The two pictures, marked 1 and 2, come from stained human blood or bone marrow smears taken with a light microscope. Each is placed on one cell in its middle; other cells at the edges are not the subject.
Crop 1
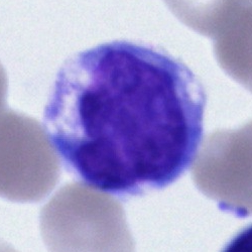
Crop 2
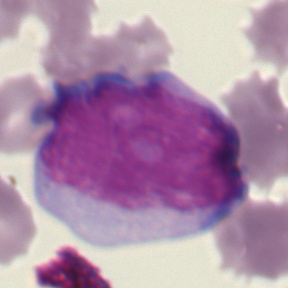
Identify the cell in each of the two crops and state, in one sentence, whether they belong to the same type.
No, just to correct that: crop 1 shows a monocyte, crop 2 shows a blast.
